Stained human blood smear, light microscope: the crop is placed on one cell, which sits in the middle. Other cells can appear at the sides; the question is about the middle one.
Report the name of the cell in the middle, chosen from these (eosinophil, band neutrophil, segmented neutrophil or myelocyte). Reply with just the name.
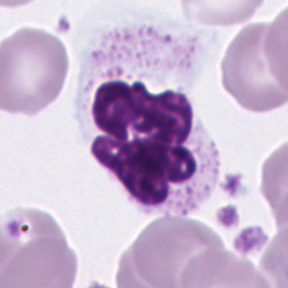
segmented neutrophil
